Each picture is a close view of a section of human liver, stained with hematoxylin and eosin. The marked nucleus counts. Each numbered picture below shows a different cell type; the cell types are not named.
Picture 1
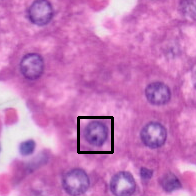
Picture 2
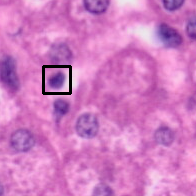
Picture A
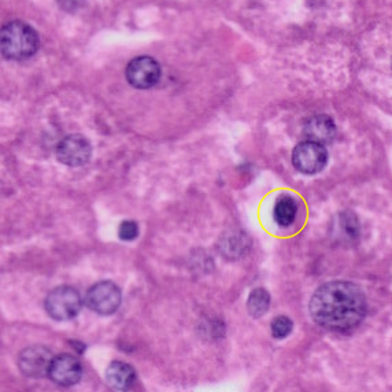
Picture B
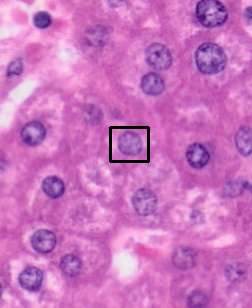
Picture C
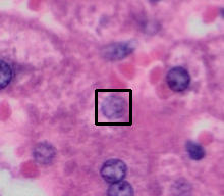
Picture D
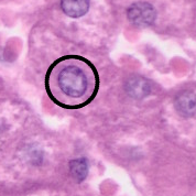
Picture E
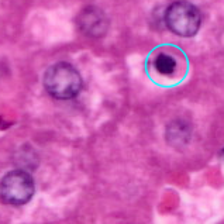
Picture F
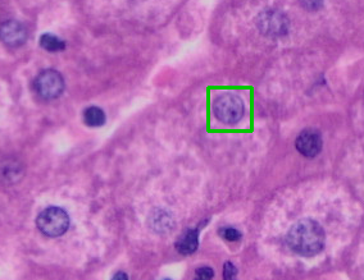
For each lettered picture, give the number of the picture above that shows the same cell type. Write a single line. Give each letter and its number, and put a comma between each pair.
A 2, B 1, C 1, D 1, E 2, F 1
